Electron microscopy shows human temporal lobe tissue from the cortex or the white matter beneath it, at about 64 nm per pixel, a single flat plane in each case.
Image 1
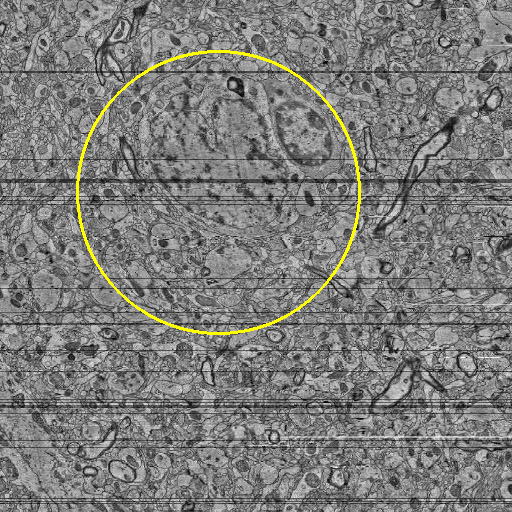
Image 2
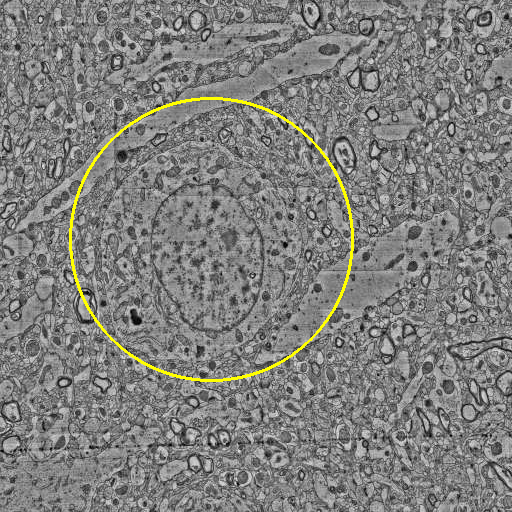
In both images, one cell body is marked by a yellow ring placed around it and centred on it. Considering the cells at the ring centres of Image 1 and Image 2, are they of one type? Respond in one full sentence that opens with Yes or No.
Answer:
Yes, a single type applies to the ring-centred cells of both Image 1 and Image 2.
